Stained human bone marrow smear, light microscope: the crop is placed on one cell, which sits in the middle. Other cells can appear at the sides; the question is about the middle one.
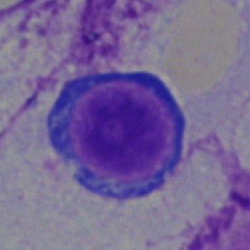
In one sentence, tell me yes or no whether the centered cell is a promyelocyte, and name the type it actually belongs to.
No, the central cell is not a promyelocyte; it is a proerythroblast instead.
